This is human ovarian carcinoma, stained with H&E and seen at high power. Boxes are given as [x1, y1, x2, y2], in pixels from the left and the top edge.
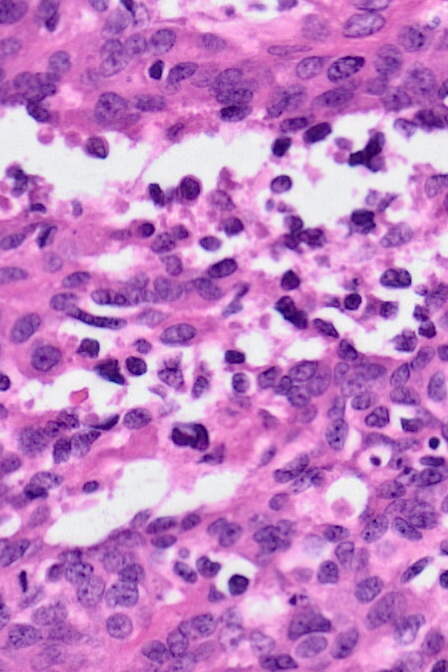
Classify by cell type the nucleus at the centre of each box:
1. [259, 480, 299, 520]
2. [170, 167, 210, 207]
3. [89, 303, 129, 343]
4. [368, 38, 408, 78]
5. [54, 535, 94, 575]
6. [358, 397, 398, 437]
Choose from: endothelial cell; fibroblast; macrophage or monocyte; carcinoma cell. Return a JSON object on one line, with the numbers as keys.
{"1": "macrophage or monocyte", "2": "carcinoma cell", "3": "carcinoma cell", "4": "carcinoma cell", "5": "carcinoma cell", "6": "macrophage or monocyte"}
